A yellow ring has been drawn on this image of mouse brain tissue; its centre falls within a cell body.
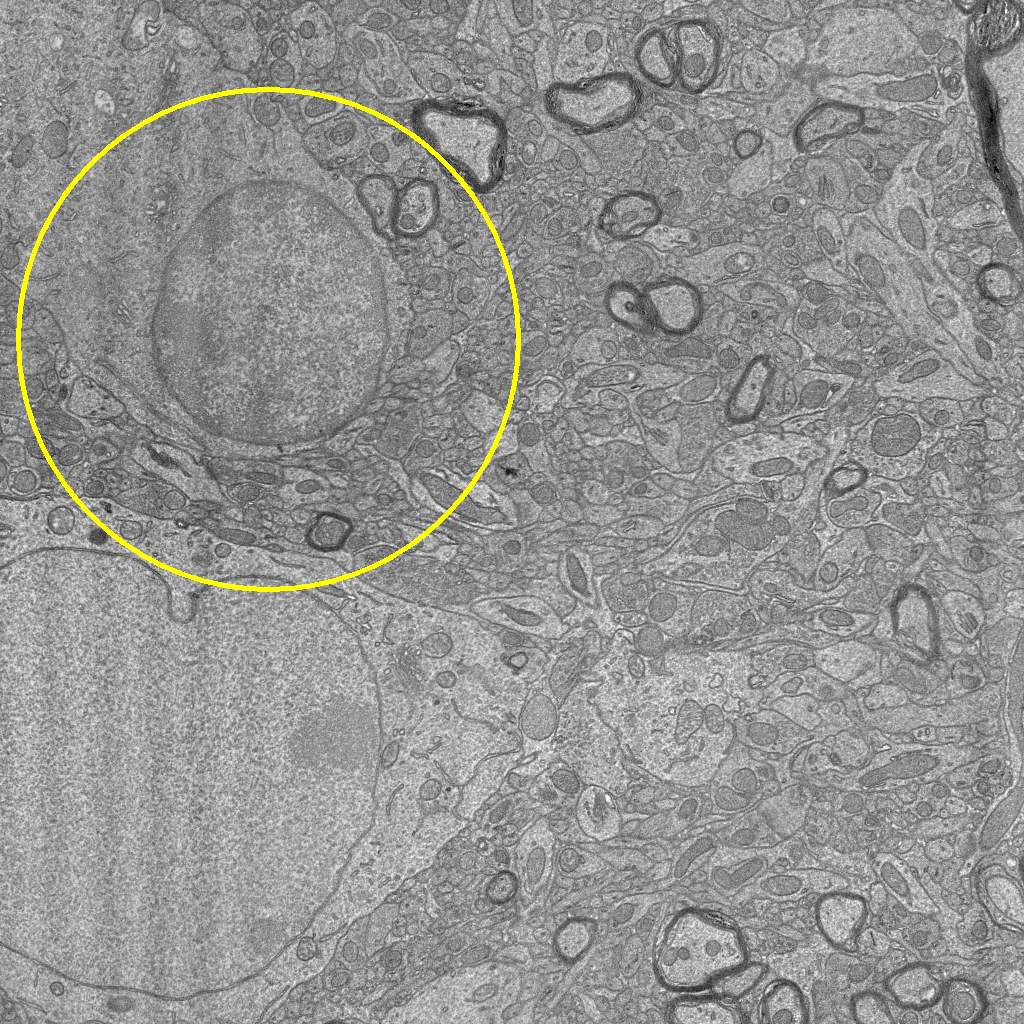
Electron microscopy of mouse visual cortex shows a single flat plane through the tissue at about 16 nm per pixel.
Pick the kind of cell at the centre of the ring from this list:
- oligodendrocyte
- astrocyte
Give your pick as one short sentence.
The centre of the ring holds an oligodendrocyte.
